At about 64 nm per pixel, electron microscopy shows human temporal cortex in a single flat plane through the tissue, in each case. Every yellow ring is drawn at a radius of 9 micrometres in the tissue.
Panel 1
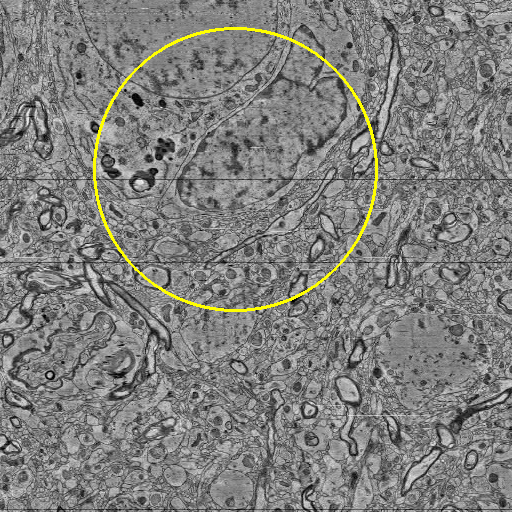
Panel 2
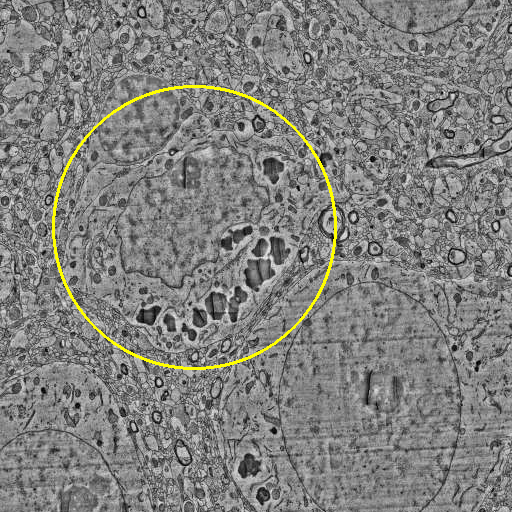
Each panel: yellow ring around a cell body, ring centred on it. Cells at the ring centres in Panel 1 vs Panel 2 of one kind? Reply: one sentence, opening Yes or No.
No, Panel 1 and Panel 2 have cells of two kinds at the ring centres.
